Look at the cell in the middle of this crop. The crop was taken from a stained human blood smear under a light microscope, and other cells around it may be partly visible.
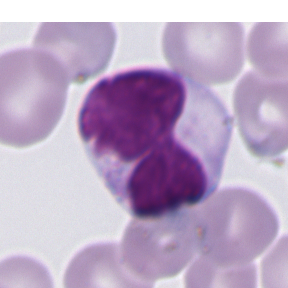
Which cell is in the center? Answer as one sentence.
Present in the middle of the crop is a large granular lymphocyte.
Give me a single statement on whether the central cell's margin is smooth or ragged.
Its surface contour is regular and smooth, without any protrusions.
